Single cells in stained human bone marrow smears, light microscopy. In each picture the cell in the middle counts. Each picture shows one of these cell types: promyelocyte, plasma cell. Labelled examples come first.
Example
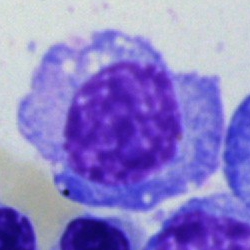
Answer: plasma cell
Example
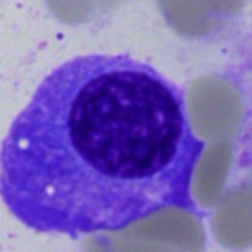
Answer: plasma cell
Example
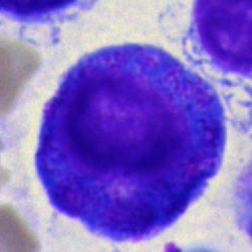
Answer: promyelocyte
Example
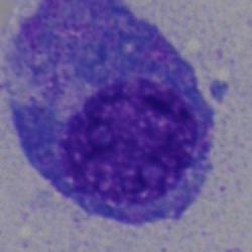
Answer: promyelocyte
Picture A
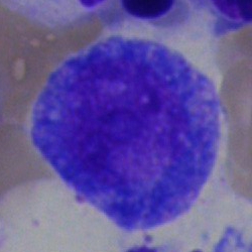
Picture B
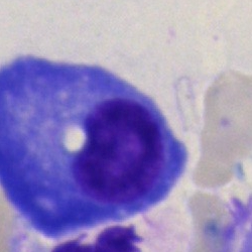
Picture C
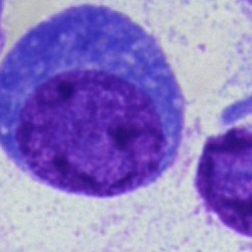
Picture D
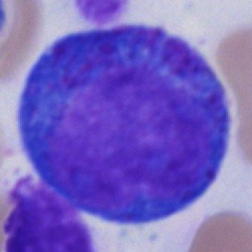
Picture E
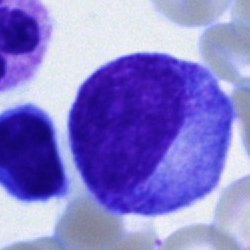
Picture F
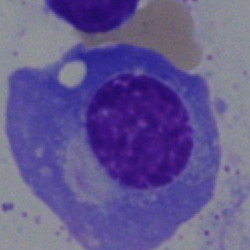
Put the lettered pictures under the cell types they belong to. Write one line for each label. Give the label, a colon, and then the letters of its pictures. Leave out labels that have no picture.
promyelocyte: A, D, E
plasma cell: B, C, F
